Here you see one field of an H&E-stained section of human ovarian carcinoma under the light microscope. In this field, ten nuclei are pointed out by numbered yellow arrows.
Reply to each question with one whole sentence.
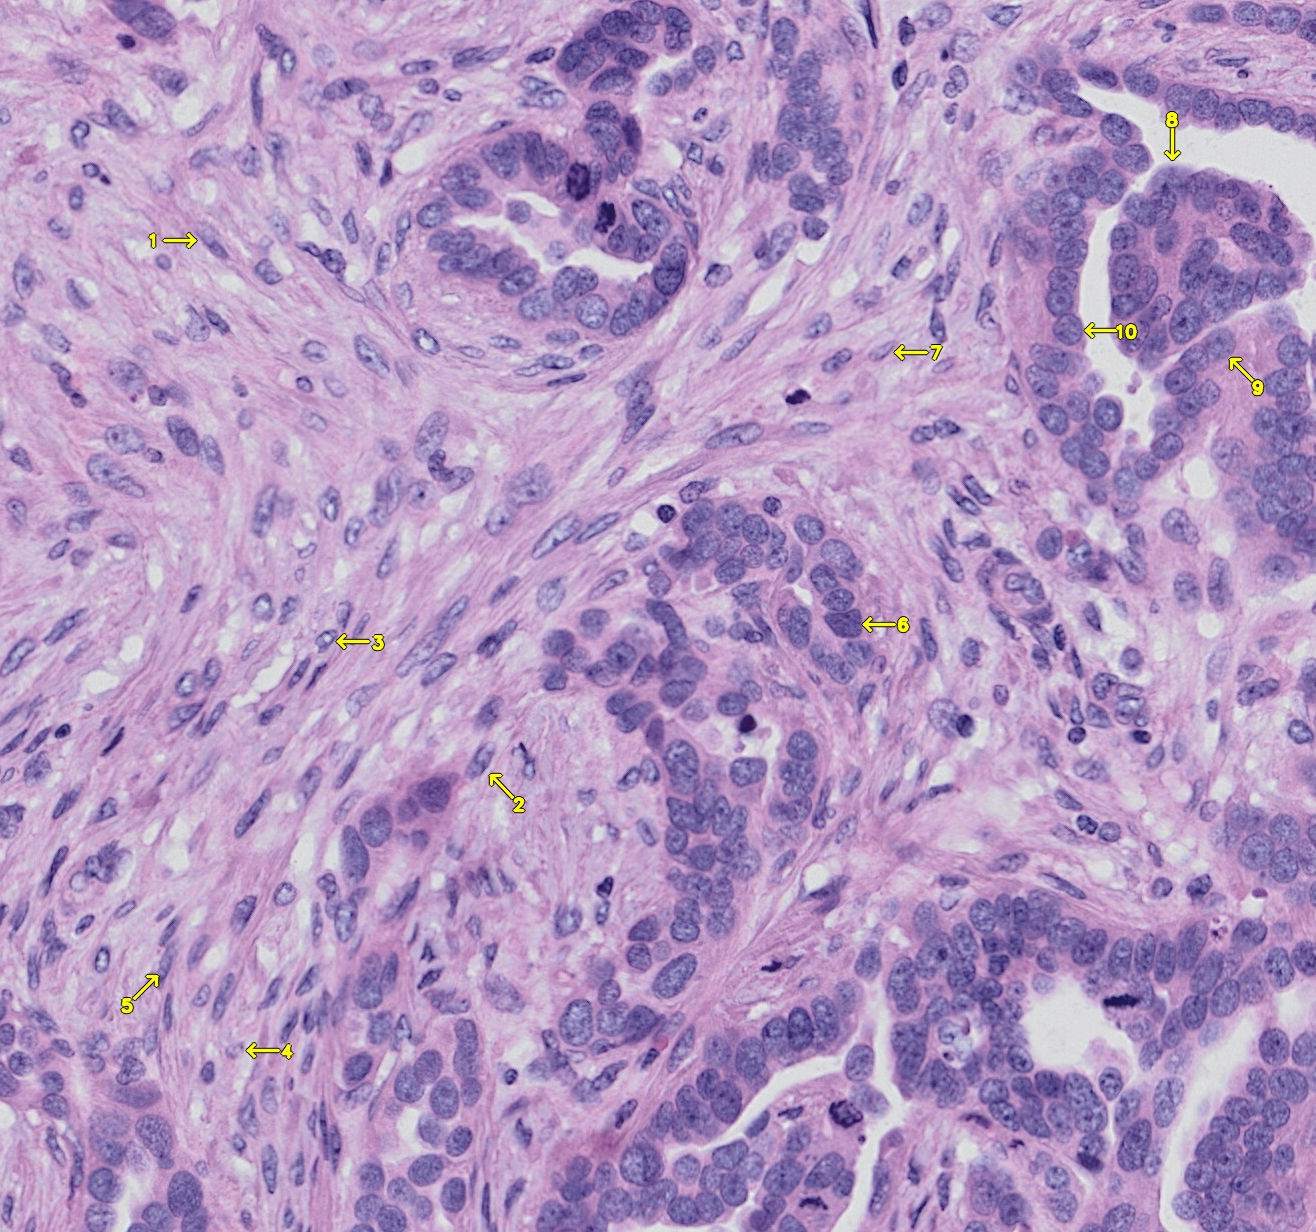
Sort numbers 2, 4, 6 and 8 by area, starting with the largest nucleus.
Largest first, the order by area is 8, 6, 2, 4.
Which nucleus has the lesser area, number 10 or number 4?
The smaller nucleus is 4, and 10 covers roughly 3 times its area.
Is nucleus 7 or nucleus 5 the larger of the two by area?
Nucleus 5 is larger, with an area about 2 times that of nucleus 7.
